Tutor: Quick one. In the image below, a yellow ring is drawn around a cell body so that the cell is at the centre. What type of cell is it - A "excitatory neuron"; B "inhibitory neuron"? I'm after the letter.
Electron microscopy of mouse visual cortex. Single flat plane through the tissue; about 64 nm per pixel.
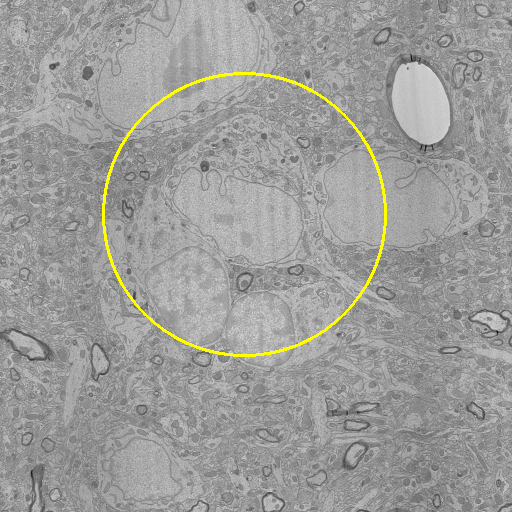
B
